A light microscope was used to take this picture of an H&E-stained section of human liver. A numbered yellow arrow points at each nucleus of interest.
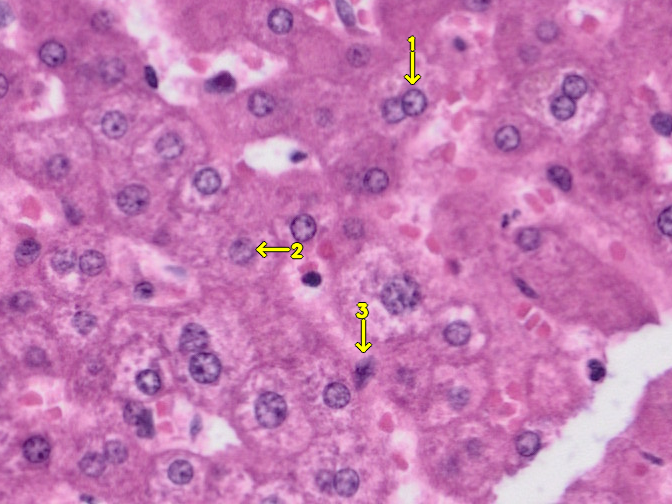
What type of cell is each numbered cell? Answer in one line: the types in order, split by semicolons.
hepatocyte; hepatocyte; endothelial cell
